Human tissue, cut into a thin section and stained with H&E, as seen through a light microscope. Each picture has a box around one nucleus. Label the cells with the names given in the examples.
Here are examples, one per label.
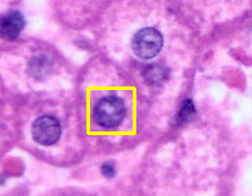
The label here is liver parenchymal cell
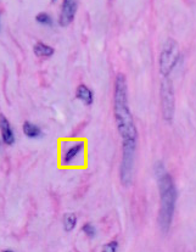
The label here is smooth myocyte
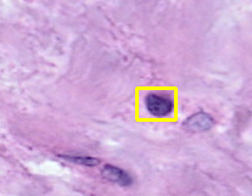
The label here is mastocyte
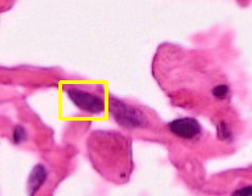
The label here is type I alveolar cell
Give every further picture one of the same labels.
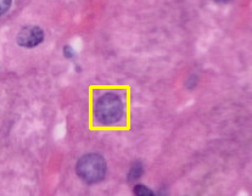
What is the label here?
liver parenchymal cell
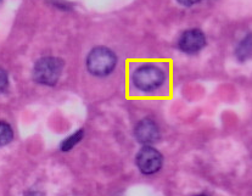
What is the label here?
liver parenchymal cell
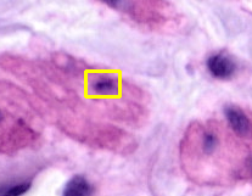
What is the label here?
smooth myocyte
